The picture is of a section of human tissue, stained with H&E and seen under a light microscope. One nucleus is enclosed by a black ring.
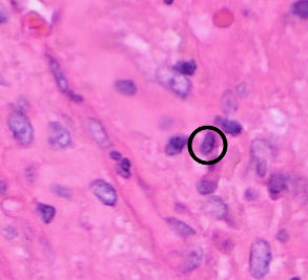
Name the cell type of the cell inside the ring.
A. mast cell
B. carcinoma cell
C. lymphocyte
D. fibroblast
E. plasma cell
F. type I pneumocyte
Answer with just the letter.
E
